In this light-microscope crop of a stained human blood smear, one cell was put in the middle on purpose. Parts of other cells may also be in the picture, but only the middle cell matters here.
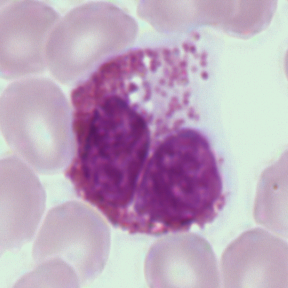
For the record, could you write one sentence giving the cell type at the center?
What sits at the centre of this crop is an eosinophil.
